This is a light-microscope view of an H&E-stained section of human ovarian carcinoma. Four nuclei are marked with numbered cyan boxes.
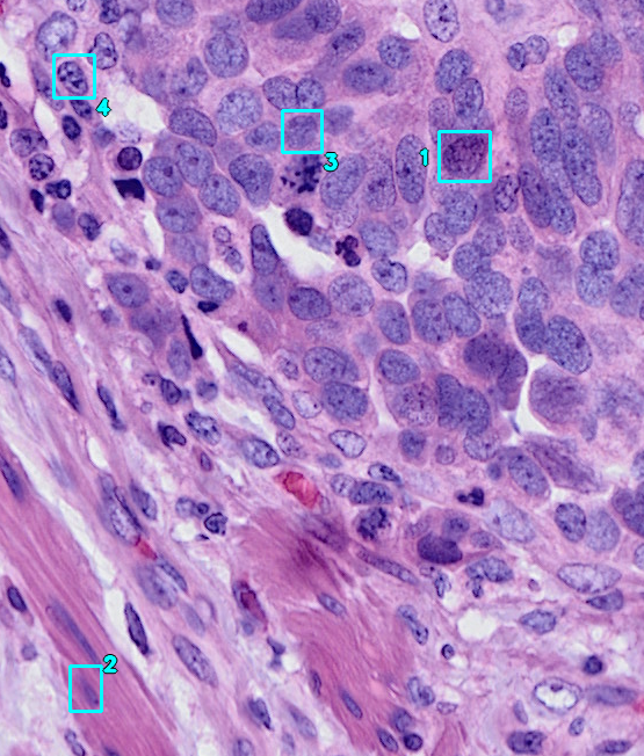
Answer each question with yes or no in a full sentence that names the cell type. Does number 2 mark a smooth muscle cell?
Yes, the cell bearing the number 2 is a smooth muscle cell.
